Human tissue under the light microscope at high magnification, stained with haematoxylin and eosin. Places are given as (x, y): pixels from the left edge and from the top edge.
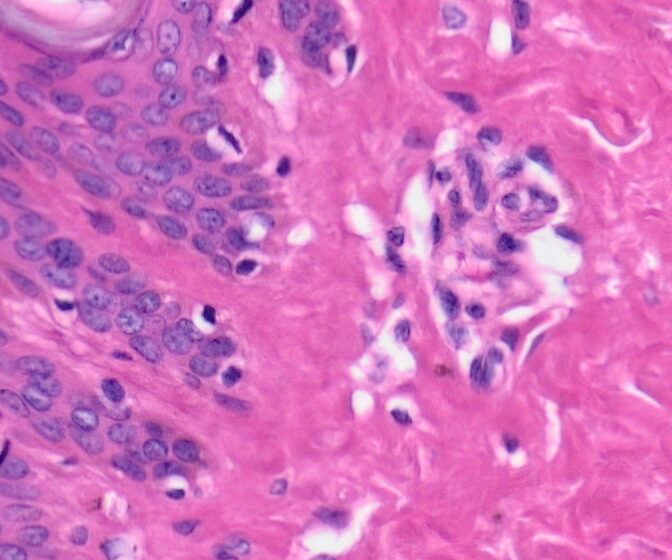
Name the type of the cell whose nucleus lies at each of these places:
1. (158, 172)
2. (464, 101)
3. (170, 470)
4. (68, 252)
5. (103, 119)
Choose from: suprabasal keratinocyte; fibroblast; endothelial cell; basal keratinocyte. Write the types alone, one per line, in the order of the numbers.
suprabasal keratinocyte
fibroblast
basal keratinocyte
basal keratinocyte
suprabasal keratinocyte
